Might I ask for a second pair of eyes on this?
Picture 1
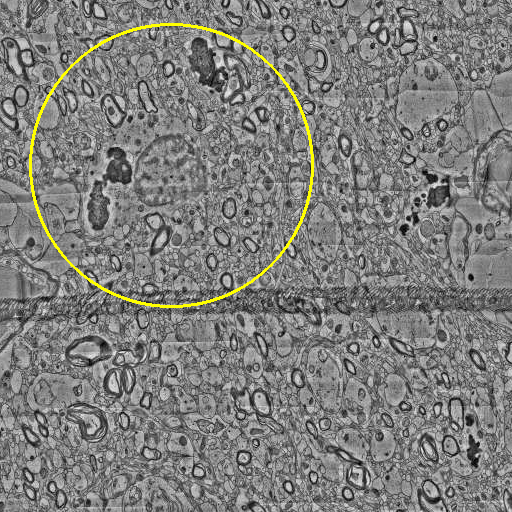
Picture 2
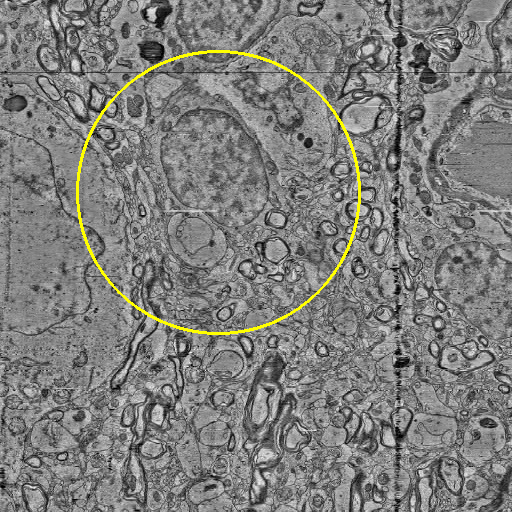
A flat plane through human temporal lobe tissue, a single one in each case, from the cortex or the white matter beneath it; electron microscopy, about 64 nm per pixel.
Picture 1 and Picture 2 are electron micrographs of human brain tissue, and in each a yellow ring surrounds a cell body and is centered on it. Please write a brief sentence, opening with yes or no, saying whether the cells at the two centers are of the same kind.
Yes, the cells are of the same kind.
